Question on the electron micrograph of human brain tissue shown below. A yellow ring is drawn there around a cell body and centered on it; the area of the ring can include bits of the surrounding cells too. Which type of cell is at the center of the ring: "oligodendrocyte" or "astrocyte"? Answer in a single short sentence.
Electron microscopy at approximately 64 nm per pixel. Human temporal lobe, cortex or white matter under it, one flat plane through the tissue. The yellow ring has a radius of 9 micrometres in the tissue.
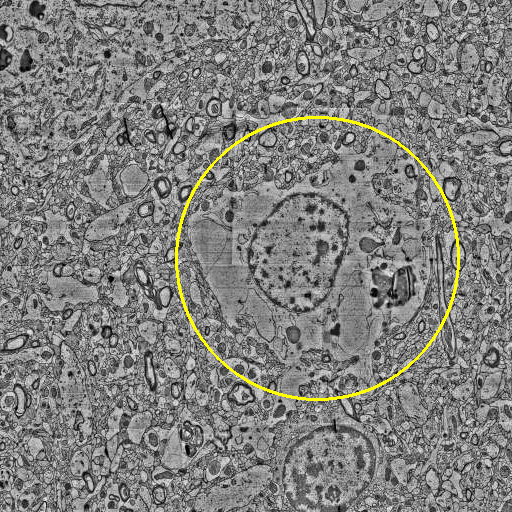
The ring is centered on an astrocyte.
